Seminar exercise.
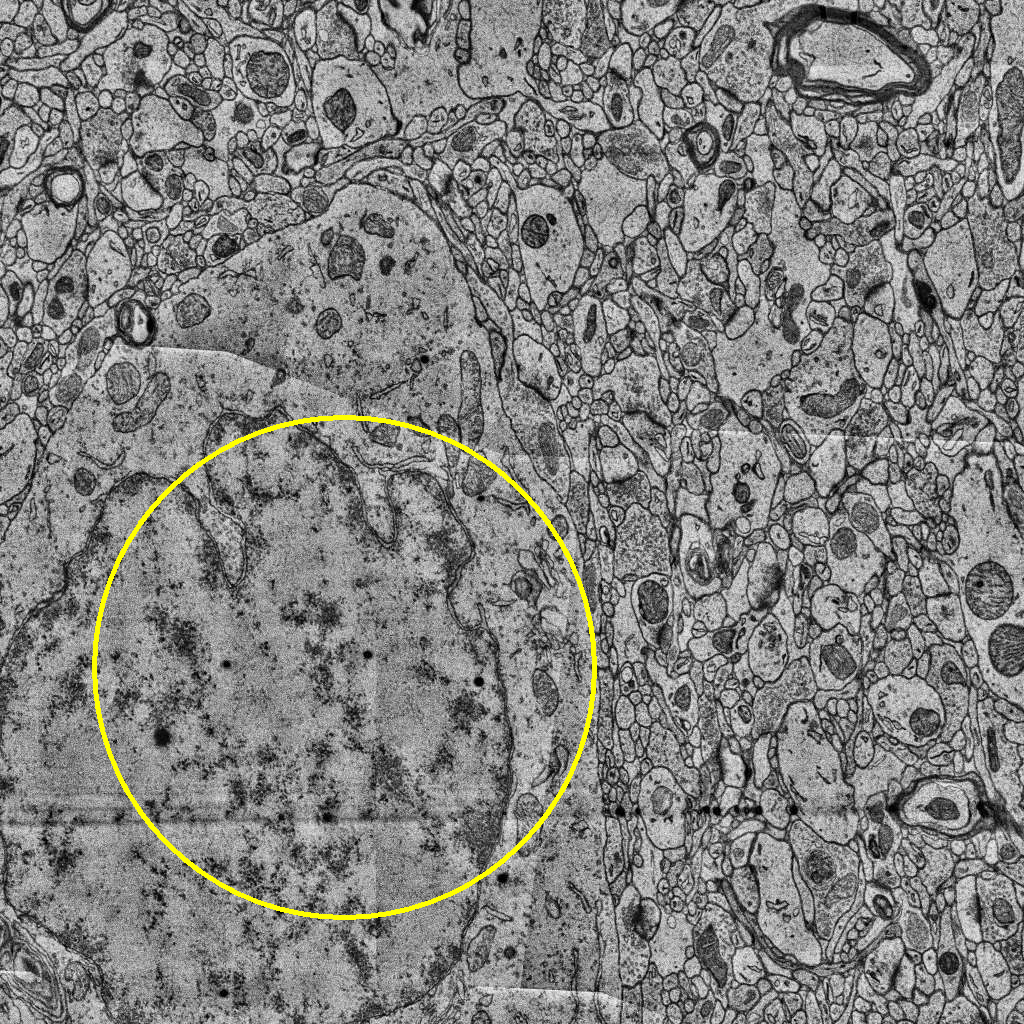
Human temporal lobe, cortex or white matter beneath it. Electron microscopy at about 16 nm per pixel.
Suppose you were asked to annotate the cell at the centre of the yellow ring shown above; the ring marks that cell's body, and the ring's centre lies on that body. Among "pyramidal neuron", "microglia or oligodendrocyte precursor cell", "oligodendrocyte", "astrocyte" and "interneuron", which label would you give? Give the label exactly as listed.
interneuron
